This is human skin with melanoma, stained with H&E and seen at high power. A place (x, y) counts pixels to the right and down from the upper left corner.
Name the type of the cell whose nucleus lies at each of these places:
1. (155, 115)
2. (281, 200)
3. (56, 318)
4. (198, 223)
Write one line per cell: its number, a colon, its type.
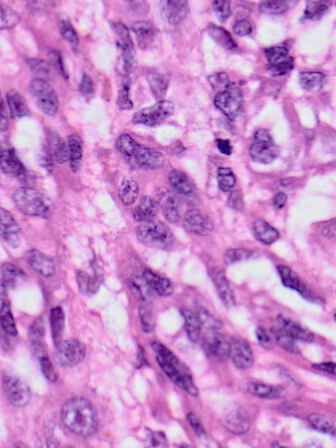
1: melanoma cell
2: macrophage or monocyte
3: melanoma cell
4: melanoma cell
